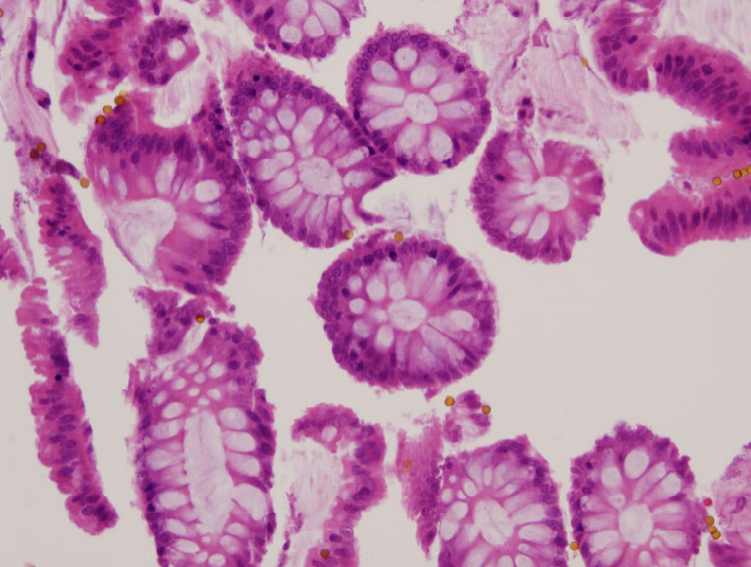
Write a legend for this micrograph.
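Detached fragments of colonic epithelium are seen, many cut across as round rosettes of tall columnar cells around a small central lumen, others as elongated strips and folded sheets. The cells have dark purple oval nuclei lined along the outer edge of each rosette, and many contain large pale, round vacuoles that crowd toward the lumen. Small round yellow-orange beads lie scattered along the outer surfaces of the fragments, and no separate round inflammatory cells are seen between them.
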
